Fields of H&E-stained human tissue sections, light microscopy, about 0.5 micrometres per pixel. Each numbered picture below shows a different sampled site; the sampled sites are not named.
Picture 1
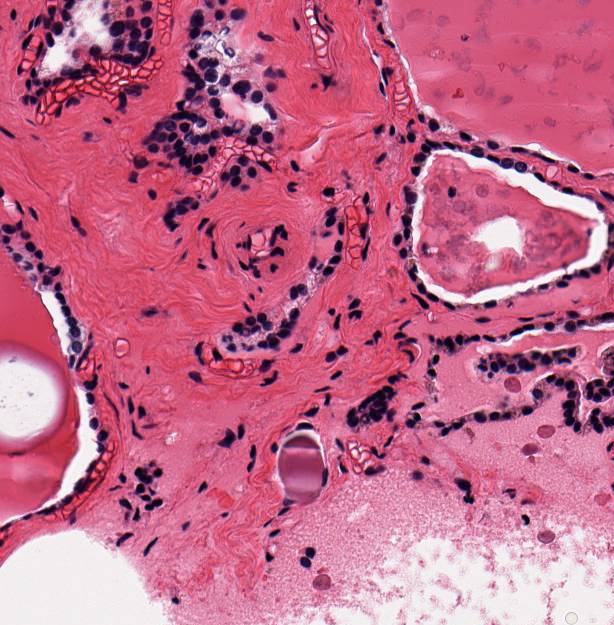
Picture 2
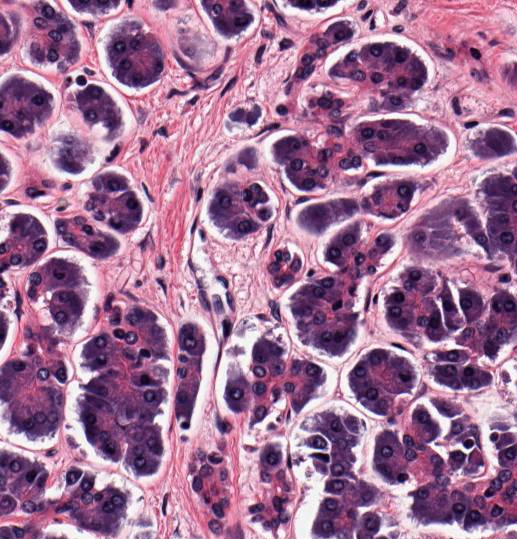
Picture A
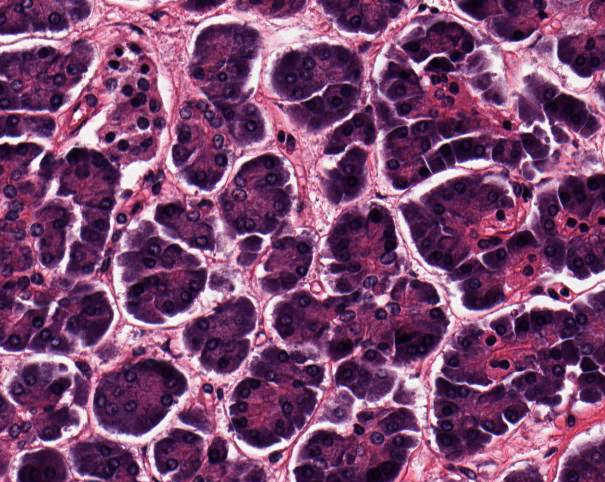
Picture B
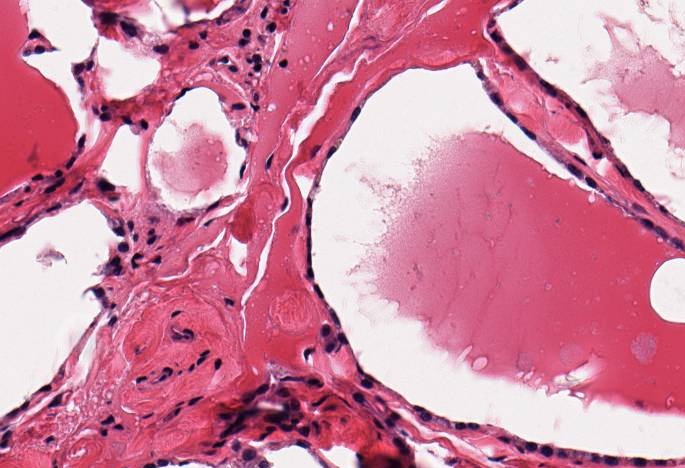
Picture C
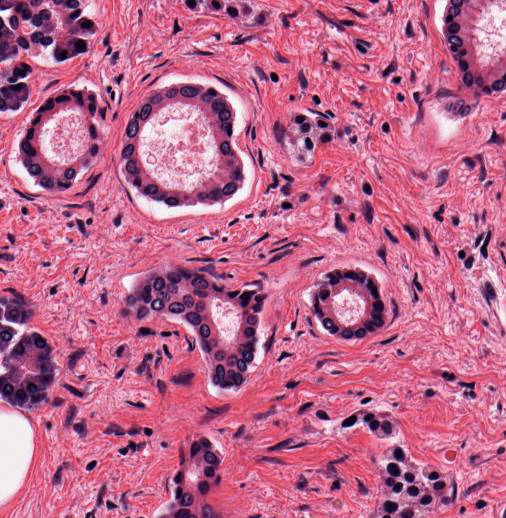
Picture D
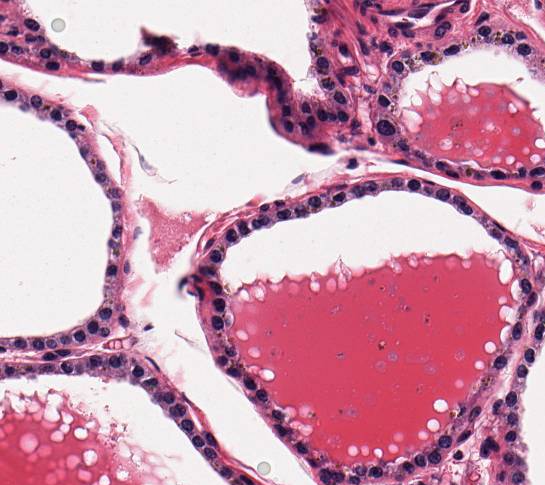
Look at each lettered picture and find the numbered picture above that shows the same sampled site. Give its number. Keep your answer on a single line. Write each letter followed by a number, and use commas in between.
A 2, B 1, C 2, D 1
